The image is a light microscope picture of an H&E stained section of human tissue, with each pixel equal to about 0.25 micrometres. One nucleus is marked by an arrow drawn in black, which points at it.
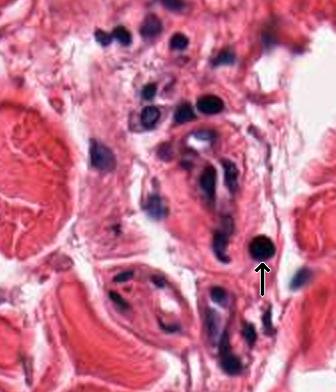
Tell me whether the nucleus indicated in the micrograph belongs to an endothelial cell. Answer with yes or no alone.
no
